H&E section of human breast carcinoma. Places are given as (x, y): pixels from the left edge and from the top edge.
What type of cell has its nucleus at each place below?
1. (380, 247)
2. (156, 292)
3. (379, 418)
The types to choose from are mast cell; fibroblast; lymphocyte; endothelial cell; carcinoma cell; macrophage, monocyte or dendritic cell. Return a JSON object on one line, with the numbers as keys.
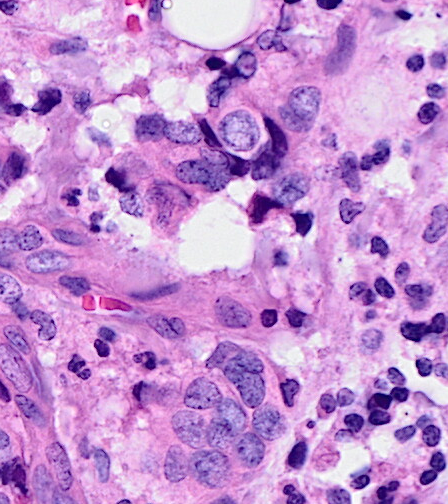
{"1": "lymphocyte", "2": "endothelial cell", "3": "lymphocyte"}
